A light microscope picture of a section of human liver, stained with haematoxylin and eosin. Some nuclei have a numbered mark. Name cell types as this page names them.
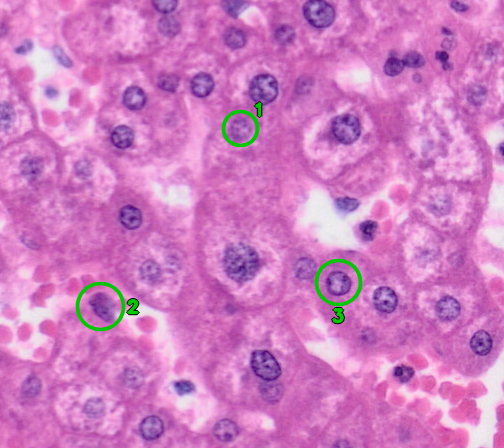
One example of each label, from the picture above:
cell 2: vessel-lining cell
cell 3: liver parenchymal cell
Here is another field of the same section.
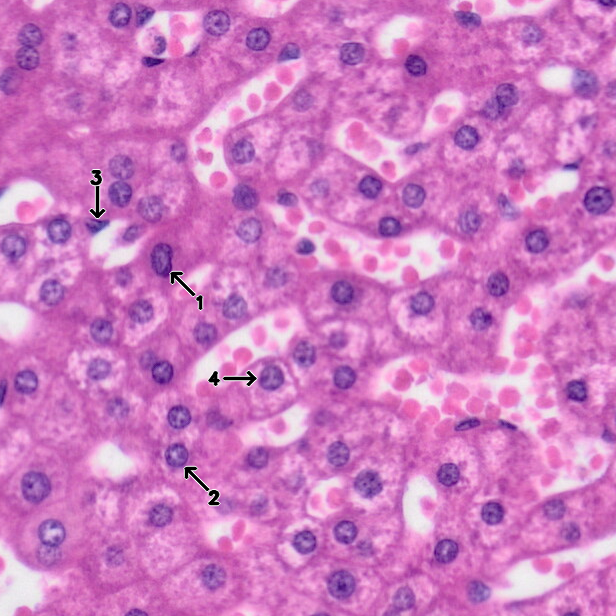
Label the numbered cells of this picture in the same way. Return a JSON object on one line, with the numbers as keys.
{"1": "liver parenchymal cell", "2": "liver parenchymal cell", "3": "vessel-lining cell", "4": "liver parenchymal cell"}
